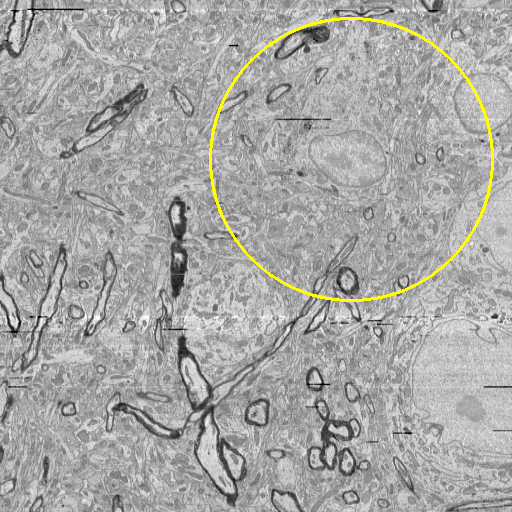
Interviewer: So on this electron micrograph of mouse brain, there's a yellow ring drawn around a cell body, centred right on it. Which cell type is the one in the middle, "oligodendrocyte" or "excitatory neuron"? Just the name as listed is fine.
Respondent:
oligodendrocyte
